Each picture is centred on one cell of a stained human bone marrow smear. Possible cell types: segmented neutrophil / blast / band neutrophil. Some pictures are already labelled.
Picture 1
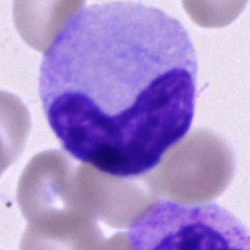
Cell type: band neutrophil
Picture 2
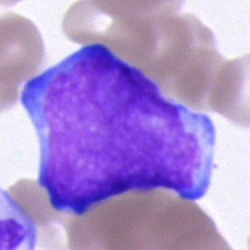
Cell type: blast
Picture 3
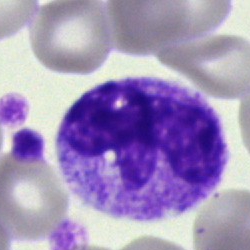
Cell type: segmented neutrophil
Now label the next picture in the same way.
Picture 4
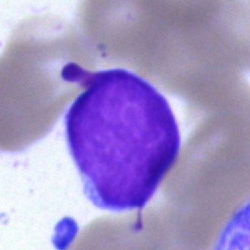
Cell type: blast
